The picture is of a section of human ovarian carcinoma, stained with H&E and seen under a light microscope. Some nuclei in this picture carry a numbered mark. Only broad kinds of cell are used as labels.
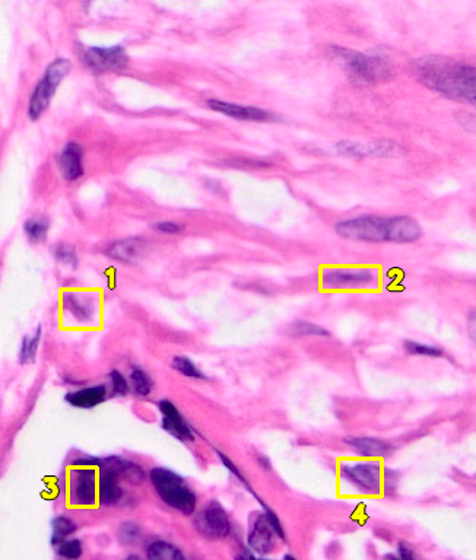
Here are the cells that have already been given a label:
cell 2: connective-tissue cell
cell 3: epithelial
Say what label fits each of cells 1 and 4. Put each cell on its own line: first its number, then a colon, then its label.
1: connective-tissue cell
4: connective-tissue cell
